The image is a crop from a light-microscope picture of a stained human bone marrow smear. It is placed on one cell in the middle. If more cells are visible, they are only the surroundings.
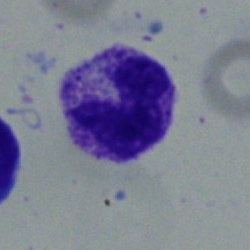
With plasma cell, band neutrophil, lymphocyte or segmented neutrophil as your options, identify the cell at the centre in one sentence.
Answering briefly, the cell in the middle is a segmented neutrophil.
